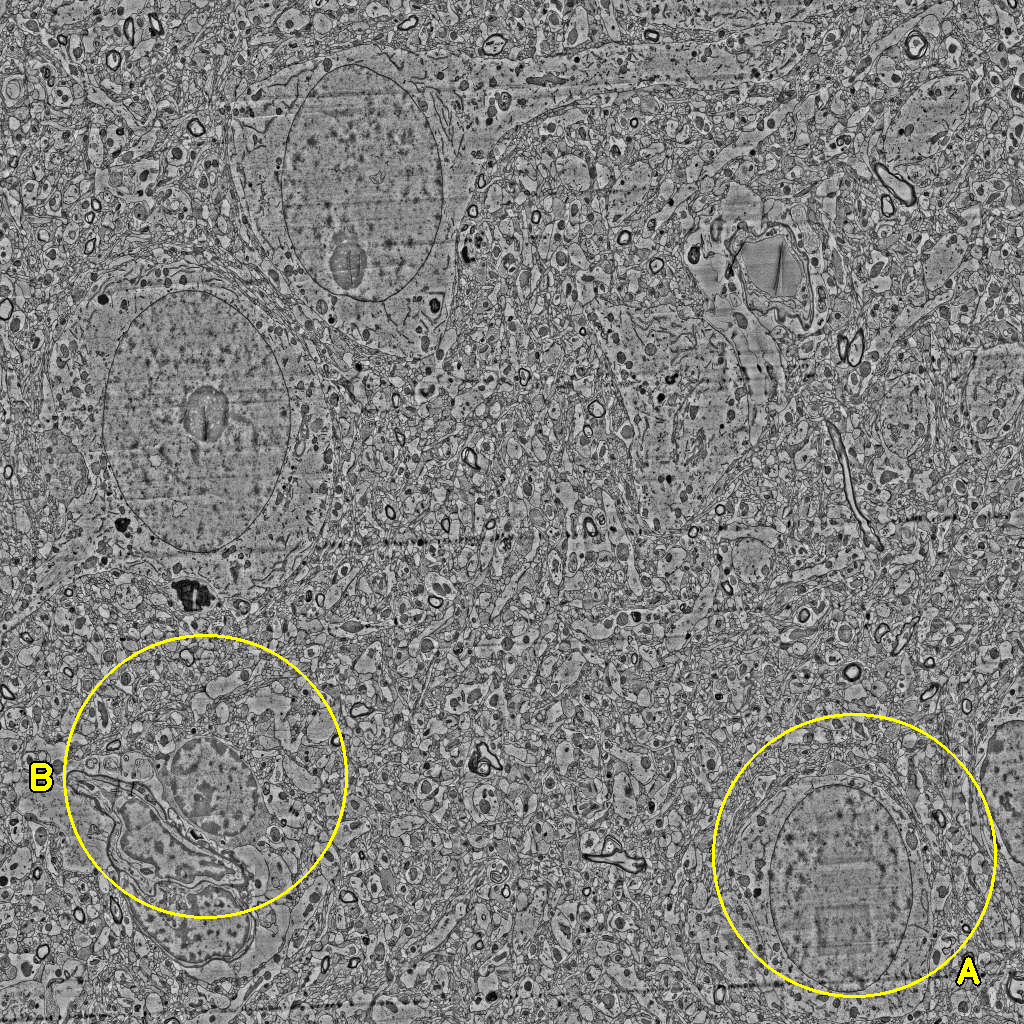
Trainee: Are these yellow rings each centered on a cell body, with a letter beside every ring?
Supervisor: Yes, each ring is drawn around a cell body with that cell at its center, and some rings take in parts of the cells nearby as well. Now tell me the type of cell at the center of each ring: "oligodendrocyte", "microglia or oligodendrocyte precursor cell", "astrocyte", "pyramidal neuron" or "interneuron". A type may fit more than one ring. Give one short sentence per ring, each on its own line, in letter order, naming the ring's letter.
Ring A has a pyramidal neuron at its center.
Ring B has an oligodendrocyte at its center.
